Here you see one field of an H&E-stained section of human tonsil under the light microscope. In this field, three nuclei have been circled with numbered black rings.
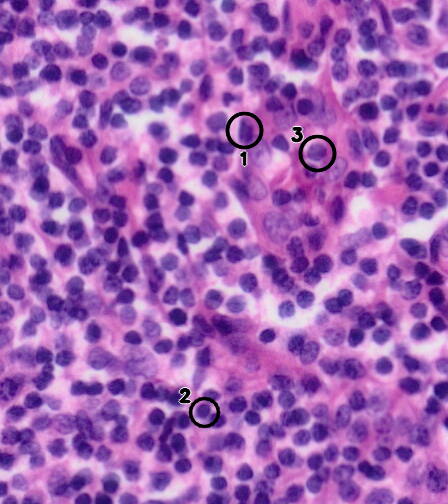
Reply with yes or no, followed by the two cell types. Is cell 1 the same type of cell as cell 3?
Yes, cells 1 and 3 are both to be classed as endothelial cells.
